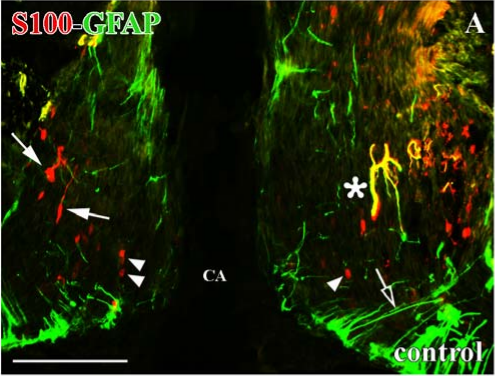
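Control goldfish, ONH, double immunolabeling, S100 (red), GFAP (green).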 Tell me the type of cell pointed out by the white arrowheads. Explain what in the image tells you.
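Oligodendrocytes. They sit in the nerve tissue near the central vessel.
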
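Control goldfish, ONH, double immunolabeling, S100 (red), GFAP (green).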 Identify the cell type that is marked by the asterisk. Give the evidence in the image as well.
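It lies within the nerve tissue beside the central vessel.
Answer: astrocyte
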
